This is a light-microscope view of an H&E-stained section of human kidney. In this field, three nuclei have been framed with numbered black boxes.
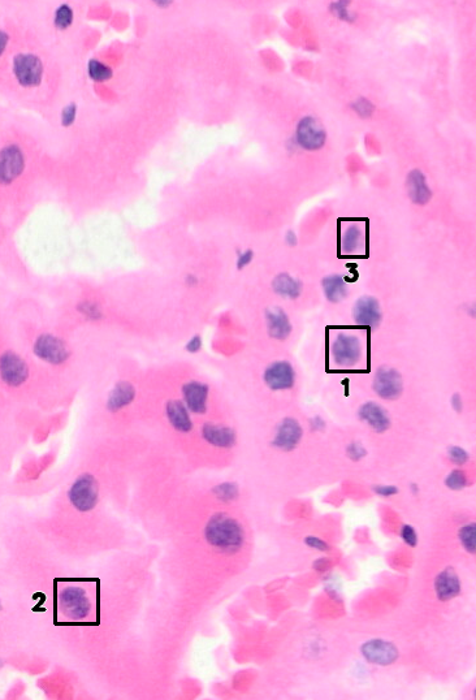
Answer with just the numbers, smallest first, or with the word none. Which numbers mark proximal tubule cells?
2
